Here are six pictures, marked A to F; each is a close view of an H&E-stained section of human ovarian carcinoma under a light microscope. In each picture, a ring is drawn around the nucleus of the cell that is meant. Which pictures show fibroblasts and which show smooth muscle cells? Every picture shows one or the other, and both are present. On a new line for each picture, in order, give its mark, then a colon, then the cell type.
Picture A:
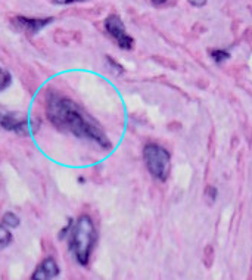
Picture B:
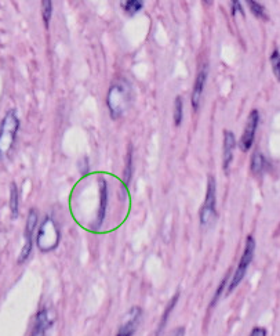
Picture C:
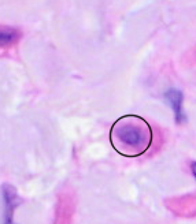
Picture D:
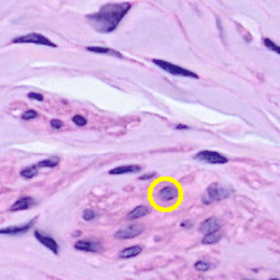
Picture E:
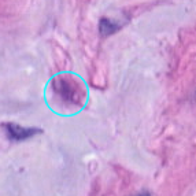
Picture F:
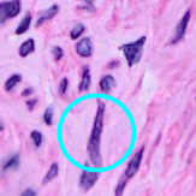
A: fibroblast
B: fibroblast
C: smooth muscle cell
D: smooth muscle cell
E: smooth muscle cell
F: smooth muscle cell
